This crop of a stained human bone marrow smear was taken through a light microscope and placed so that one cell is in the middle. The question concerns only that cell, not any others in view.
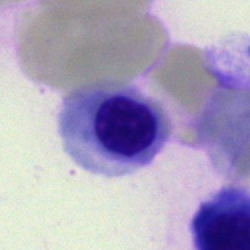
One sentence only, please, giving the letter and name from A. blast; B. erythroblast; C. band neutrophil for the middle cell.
The correct identification, given in option B, is that the central cell is an erythroblast.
